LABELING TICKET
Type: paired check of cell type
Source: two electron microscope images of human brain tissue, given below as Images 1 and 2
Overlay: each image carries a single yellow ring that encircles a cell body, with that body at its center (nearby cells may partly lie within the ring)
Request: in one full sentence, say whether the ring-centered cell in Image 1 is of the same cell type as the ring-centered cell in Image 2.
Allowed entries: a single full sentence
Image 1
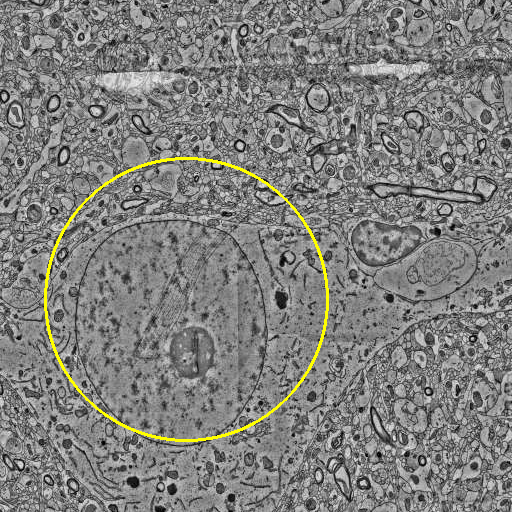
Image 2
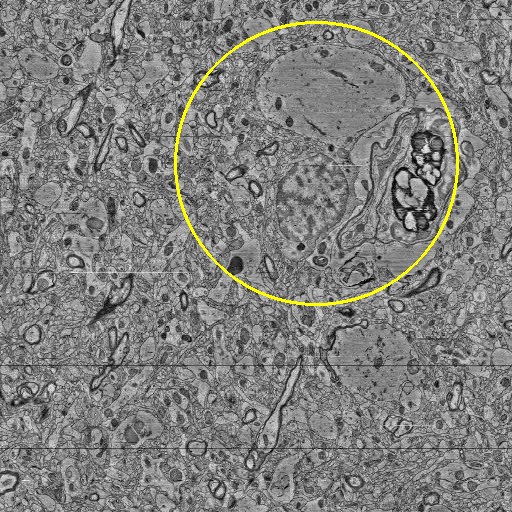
No, the cells centered in the rings of Image 1 and Image 2 are of two types.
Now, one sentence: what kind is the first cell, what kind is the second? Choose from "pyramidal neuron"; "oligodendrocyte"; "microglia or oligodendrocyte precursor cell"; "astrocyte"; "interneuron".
The first picture has a pyramidal neuron at its ring centre, and the second has an oligodendrocyte.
